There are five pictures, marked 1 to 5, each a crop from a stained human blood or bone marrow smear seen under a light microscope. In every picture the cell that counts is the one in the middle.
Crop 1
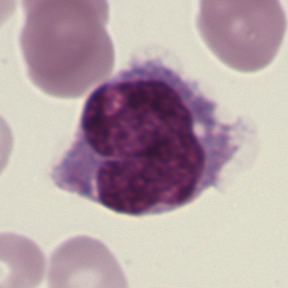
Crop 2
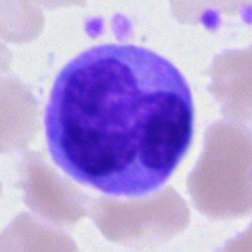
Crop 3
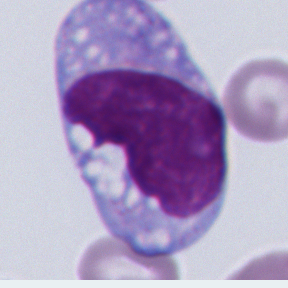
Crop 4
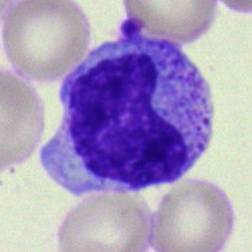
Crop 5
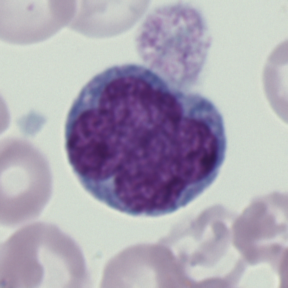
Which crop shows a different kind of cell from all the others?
4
